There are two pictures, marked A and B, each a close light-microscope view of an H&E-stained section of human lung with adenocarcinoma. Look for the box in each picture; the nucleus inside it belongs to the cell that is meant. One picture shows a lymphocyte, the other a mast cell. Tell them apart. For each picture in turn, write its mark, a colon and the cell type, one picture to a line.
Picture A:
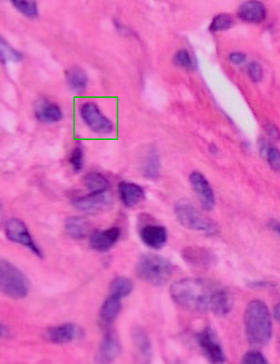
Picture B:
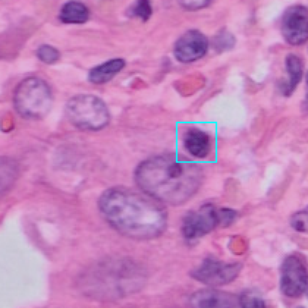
A: mast cell
B: lymphocyte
